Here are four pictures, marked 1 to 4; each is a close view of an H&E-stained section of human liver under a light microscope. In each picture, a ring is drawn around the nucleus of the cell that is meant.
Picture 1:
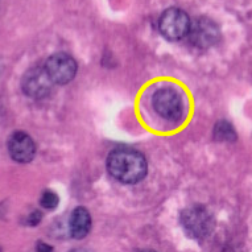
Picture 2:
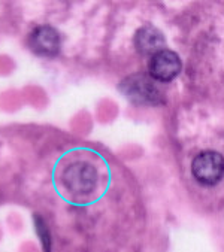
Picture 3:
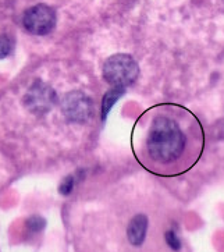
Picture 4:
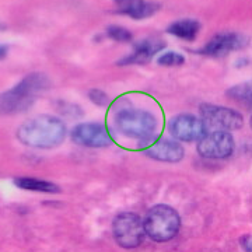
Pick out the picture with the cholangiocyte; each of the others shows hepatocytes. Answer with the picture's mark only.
4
